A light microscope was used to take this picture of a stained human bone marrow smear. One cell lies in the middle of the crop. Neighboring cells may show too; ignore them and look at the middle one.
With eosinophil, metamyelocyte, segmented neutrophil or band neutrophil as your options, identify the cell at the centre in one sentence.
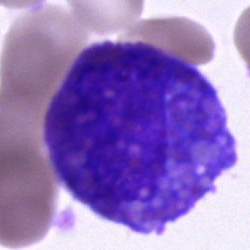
The cell around which this crop is centred is an eosinophil.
